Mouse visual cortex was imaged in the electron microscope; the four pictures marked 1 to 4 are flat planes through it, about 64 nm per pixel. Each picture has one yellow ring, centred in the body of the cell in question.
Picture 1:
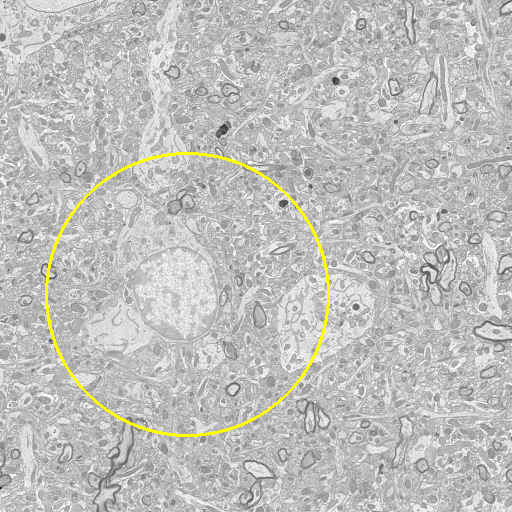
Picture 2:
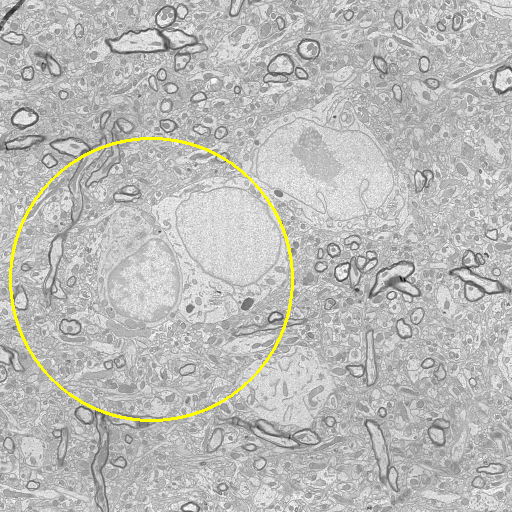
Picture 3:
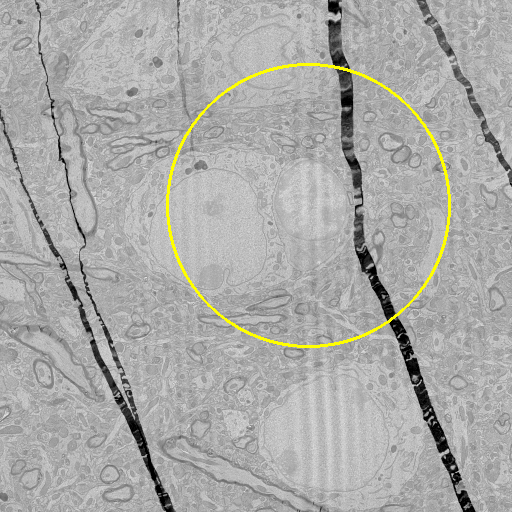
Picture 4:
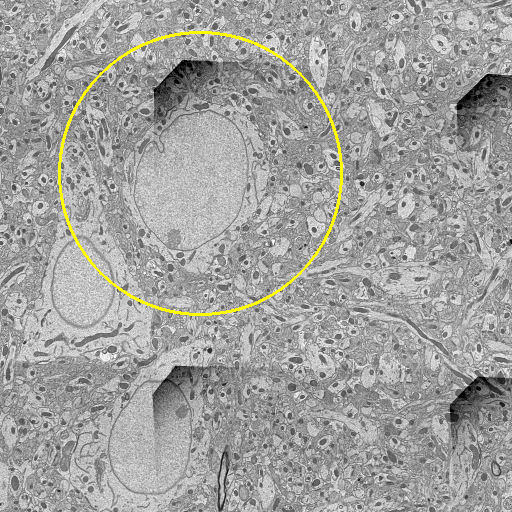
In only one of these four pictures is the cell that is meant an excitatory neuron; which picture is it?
The picture with the excitatory neuron is 4.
